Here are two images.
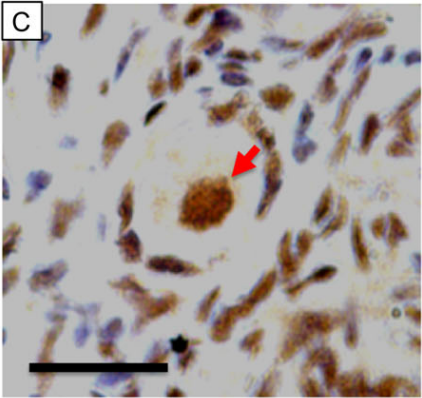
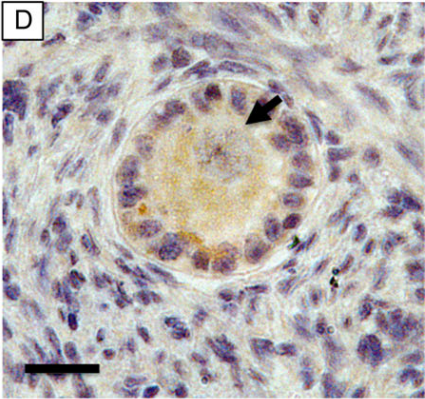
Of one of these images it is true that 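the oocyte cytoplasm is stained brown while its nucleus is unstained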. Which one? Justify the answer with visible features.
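The second image. Second image: the oocyte body is diffusely light brown with a paler centre. First image: brown staining is concentrated in a compact round body, with pale surroundings.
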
